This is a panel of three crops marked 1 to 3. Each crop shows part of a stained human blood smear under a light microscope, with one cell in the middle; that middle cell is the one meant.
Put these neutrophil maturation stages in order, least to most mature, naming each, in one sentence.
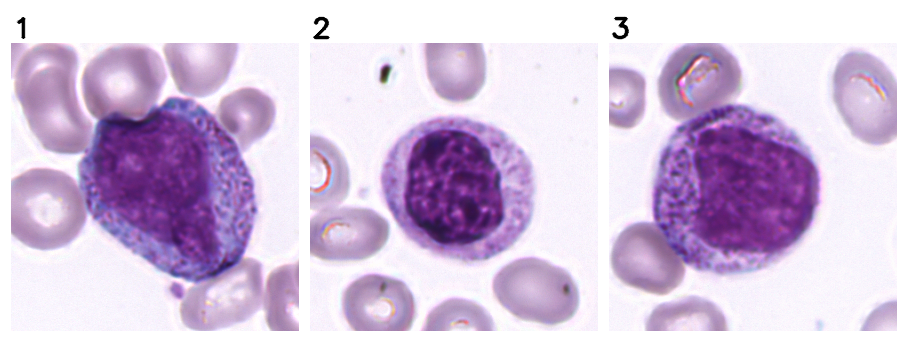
From the least mature to the most mature, the order reads crop 1 (a promyelocyte), crop 3 (a myelocyte) and crop 2 (a metamyelocyte).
